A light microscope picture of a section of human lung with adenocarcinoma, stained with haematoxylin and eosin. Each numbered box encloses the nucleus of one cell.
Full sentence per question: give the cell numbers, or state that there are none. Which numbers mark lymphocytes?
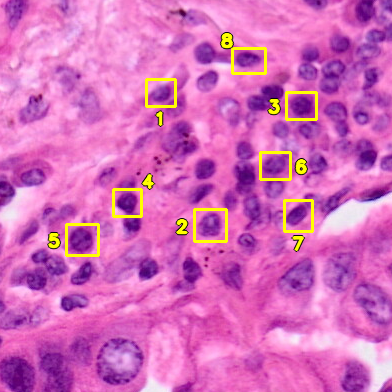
The cells numbered 2, 4 and 7 are of one kind: lymphocytes.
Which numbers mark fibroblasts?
Among the marked and numbered cells, fibroblasts do not occur.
